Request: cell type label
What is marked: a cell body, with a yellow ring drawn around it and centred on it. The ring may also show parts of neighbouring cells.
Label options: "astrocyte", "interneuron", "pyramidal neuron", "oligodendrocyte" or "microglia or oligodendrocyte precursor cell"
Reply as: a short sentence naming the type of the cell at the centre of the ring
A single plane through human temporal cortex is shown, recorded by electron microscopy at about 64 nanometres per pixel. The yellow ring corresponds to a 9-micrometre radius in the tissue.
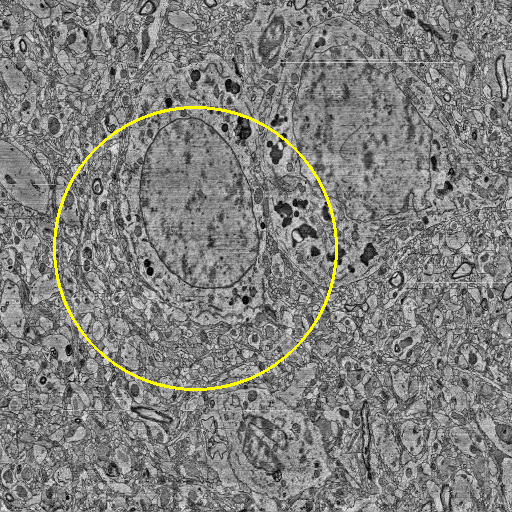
The marked cell body is that of a pyramidal neuron.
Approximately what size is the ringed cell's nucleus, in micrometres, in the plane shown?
In this plane, about 12 by 8 micrometres: the nucleus is clearly longer than it is wide.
